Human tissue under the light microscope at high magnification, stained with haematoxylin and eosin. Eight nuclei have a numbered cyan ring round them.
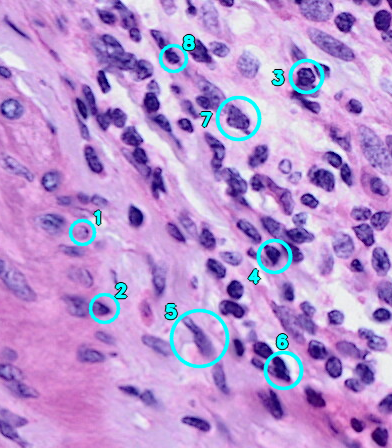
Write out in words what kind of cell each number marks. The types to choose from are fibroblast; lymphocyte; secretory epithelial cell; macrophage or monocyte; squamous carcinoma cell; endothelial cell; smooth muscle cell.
Cell 1 is a smooth muscle cell, cell 2 is a smooth muscle cell, cell 3 is a lymphocyte, cell 4 is a lymphocyte, cell 5 is a fibroblast, cell 6 is a lymphocyte, cell 7 is a lymphocyte and cell 8 is a lymphocyte.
